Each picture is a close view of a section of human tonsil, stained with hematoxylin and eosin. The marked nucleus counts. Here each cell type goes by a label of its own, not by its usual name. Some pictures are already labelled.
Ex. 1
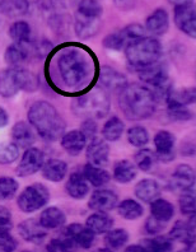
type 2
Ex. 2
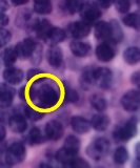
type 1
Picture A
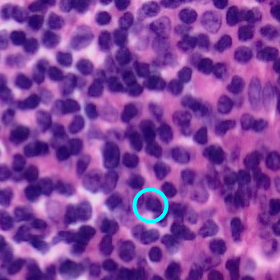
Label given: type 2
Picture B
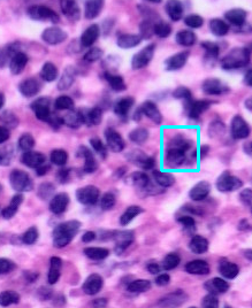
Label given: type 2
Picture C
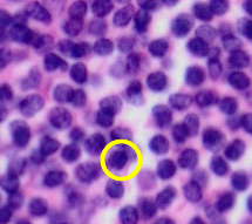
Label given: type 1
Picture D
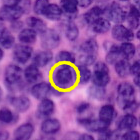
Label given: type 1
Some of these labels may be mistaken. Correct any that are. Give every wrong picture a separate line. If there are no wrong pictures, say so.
A: not type 2 but type 1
